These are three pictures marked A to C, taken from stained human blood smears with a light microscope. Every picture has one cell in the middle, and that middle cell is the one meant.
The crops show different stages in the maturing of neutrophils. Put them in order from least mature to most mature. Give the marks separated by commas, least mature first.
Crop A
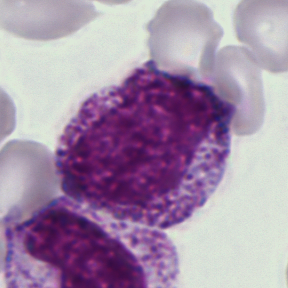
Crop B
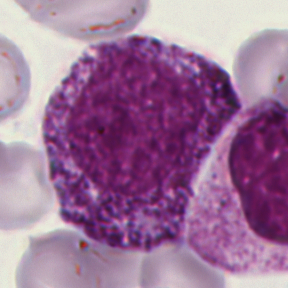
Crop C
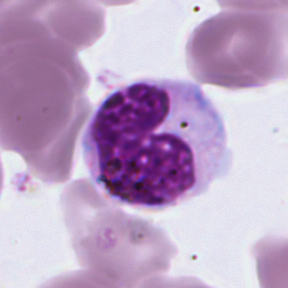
B, A, C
